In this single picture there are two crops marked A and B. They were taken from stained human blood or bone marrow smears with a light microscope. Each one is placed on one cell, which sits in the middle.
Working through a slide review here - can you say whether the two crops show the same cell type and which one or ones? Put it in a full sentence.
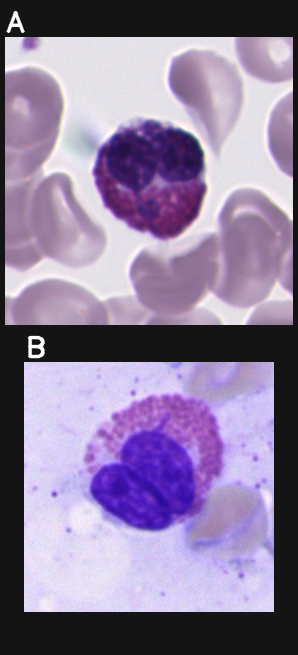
Yes, both the first crop and the second crop show eosinophils.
